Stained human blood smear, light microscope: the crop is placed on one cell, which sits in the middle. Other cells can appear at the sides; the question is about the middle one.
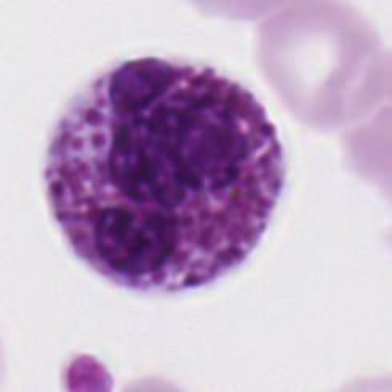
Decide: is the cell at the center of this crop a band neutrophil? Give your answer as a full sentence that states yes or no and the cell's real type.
No, the cell centered in the crop is an eosinophil, not a band neutrophil.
